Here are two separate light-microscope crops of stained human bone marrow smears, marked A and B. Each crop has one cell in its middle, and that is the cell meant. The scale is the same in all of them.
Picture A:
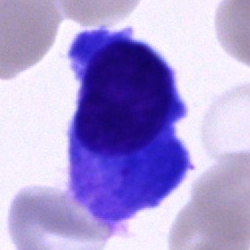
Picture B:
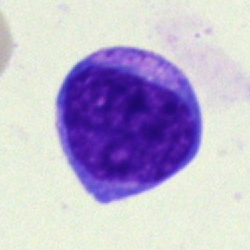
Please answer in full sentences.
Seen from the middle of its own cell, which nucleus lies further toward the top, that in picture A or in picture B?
It is the nucleus in picture A that lies further toward the top of its cell.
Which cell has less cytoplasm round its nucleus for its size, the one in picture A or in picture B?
The nucleus fills more of the cell in picture B than in picture A.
